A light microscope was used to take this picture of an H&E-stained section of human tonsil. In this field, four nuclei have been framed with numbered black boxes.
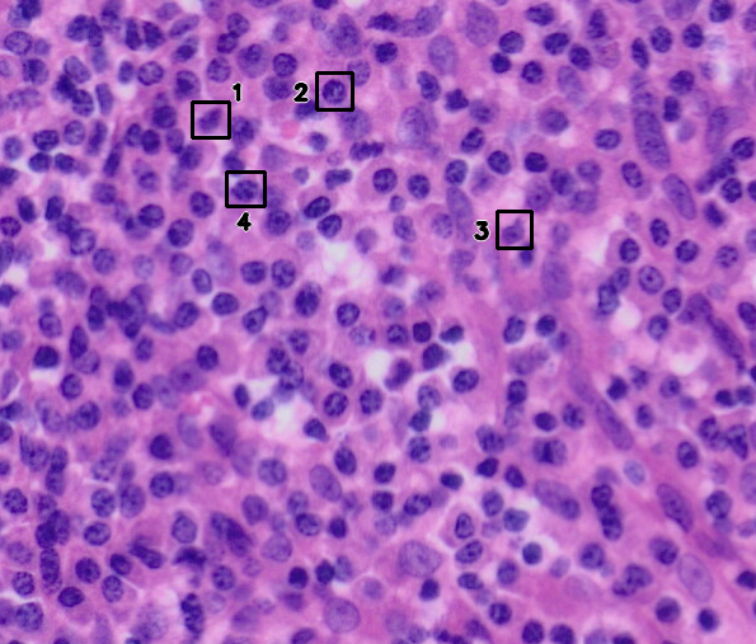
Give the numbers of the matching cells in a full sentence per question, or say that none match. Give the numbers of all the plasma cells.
The cells referred to by numbers 1, 2 and 4 are plasma cells.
